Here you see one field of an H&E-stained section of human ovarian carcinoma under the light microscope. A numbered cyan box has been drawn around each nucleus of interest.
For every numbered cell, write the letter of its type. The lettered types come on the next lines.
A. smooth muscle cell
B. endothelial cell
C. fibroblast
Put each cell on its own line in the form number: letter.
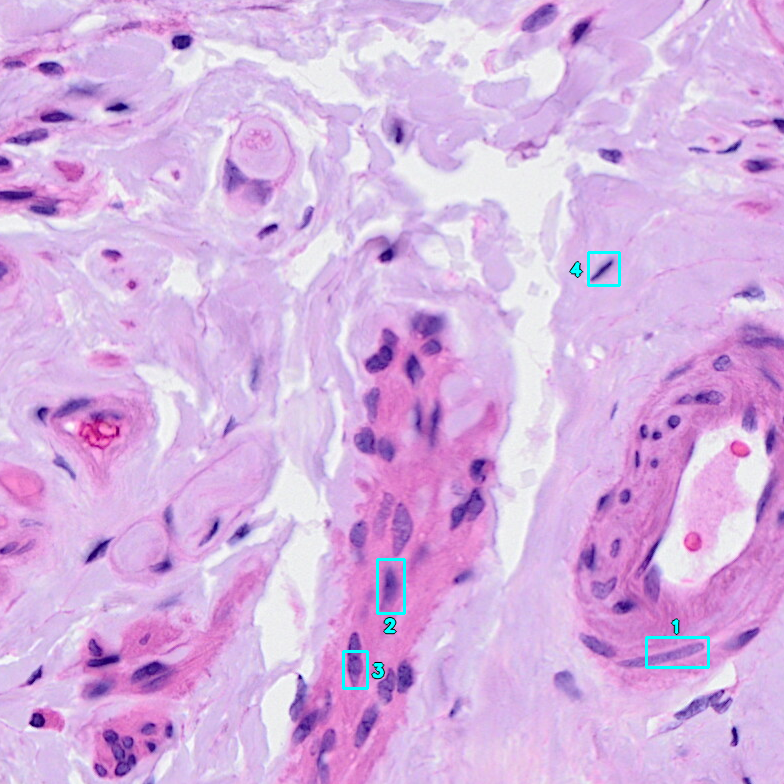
1: A
2: A
3: A
4: C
